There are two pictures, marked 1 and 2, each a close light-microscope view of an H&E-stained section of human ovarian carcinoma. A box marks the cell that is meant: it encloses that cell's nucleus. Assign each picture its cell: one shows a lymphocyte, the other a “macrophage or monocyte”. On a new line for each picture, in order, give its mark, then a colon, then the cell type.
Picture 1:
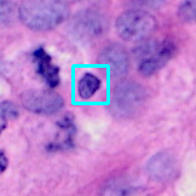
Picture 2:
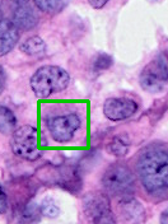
1: lymphocyte
2: macrophage or monocyte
